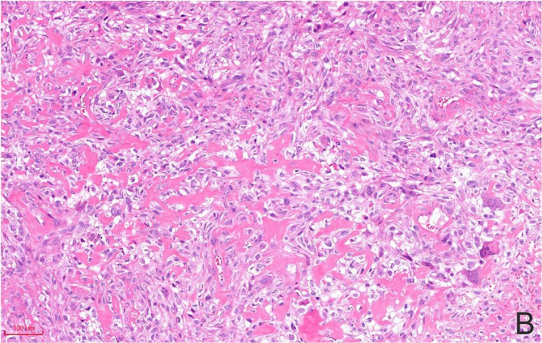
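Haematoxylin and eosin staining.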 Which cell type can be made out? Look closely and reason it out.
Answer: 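Osteoclasts. Scattered large multinucleated cells lie among the spindle cells.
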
